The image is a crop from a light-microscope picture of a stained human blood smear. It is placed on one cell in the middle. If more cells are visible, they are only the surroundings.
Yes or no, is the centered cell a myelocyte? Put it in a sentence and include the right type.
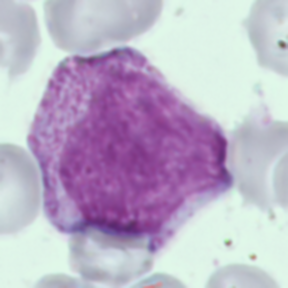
Yes, what sits in the middle of the crop is a myelocyte.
